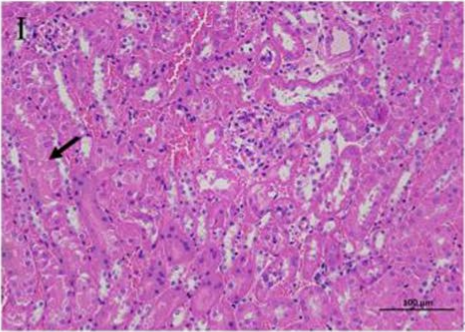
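Kidney cortex with tubules cut largely lengthwise and a glomerulus near the centre. Elongated tubular profiles run in parallel, lined by cuboidal epithelial cells with pink cytoplasm and round purple nuclei, their lumens slit-like and pale. Some tubular epithelium has paler, uneven cytoplasm. The glomerulus shows a cellular capillary tuft with many dark nuclei inside a thin capsule. Small vessels with red blood cells cross the upper part of the field. Interstitium between tubules is scant.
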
